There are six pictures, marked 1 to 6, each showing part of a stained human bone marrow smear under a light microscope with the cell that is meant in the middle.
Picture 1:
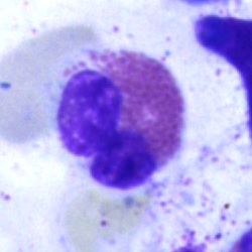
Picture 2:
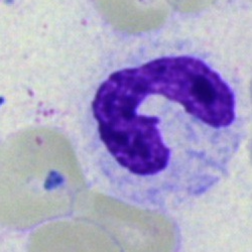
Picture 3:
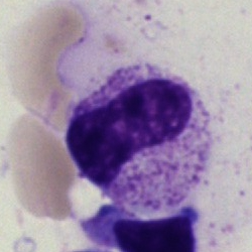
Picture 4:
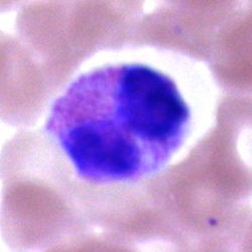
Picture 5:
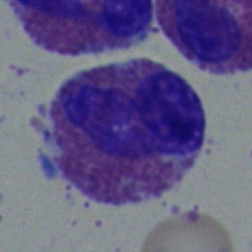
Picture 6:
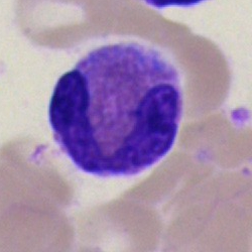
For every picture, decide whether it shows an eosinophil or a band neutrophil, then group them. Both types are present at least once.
1: eosinophil
2: band neutrophil
3: band neutrophil
4: eosinophil
5: eosinophil
6: eosinophil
